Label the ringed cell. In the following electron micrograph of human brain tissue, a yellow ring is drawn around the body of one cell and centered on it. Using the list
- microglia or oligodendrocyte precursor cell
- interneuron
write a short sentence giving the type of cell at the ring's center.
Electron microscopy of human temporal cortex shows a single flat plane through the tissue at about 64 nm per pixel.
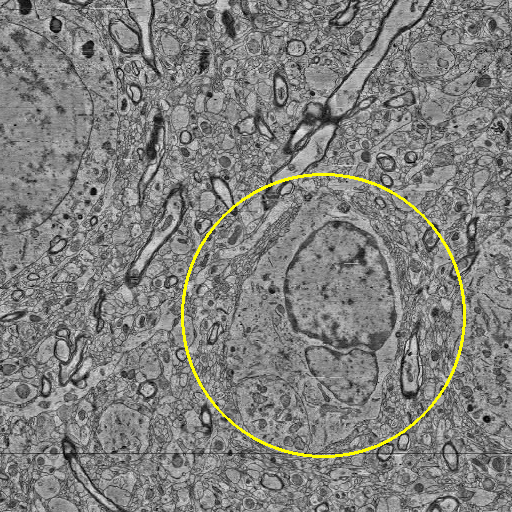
The cell body at the ring's center is that of a microglial cell or oligodendrocyte precursor cell.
